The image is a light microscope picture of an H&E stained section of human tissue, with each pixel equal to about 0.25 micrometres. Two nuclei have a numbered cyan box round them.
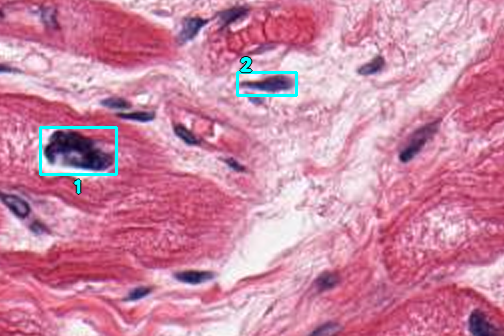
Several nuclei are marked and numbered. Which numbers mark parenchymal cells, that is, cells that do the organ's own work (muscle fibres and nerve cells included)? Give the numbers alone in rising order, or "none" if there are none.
1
